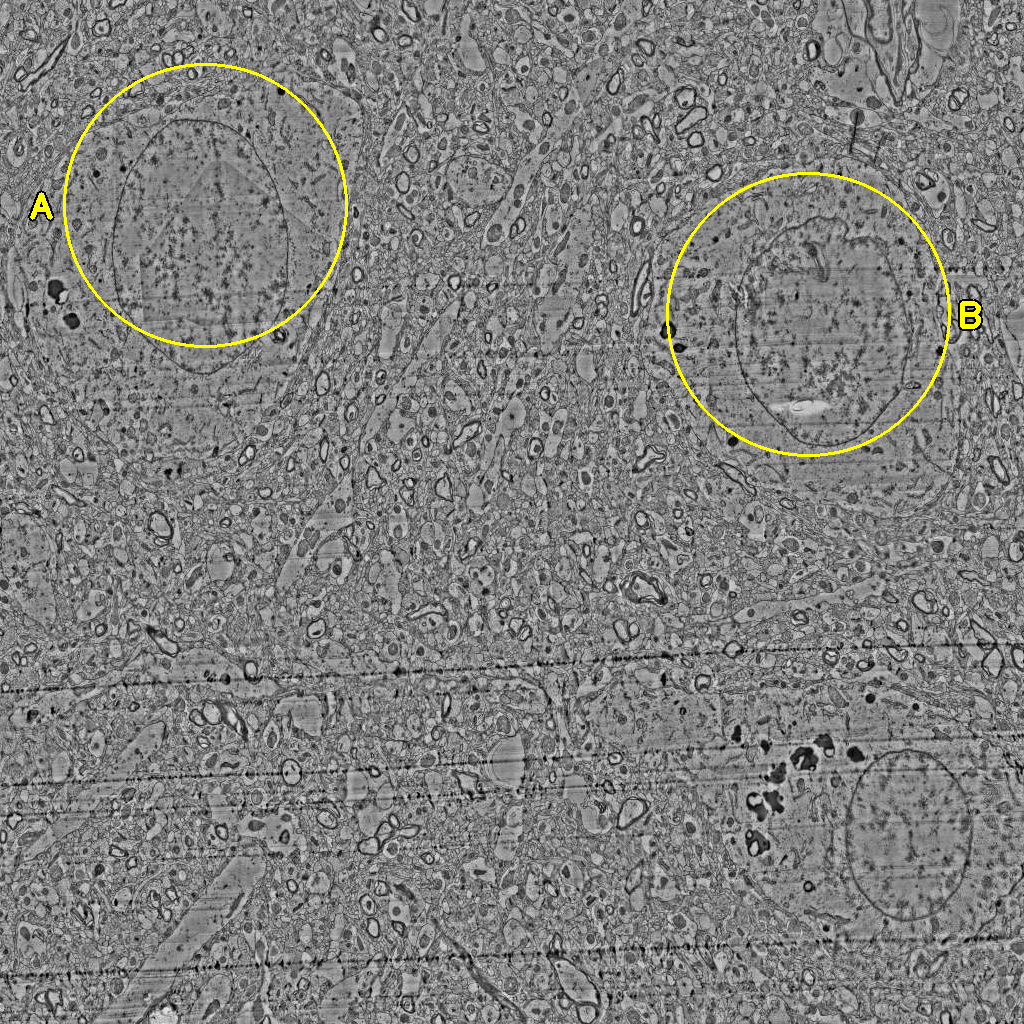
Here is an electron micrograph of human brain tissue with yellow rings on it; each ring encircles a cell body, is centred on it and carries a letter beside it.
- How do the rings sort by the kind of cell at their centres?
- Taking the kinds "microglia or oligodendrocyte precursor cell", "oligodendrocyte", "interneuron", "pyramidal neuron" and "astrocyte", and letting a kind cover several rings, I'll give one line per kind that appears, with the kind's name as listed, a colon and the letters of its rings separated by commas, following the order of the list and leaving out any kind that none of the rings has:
pyramidal neuron: A, B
